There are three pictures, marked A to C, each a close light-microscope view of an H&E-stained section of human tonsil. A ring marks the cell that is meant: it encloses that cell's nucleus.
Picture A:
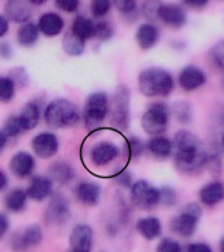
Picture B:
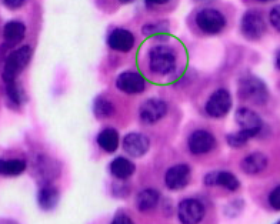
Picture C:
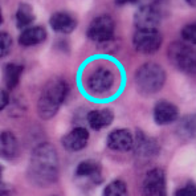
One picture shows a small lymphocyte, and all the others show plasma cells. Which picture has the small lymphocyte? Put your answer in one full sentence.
The small lymphocyte is the one in picture A.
